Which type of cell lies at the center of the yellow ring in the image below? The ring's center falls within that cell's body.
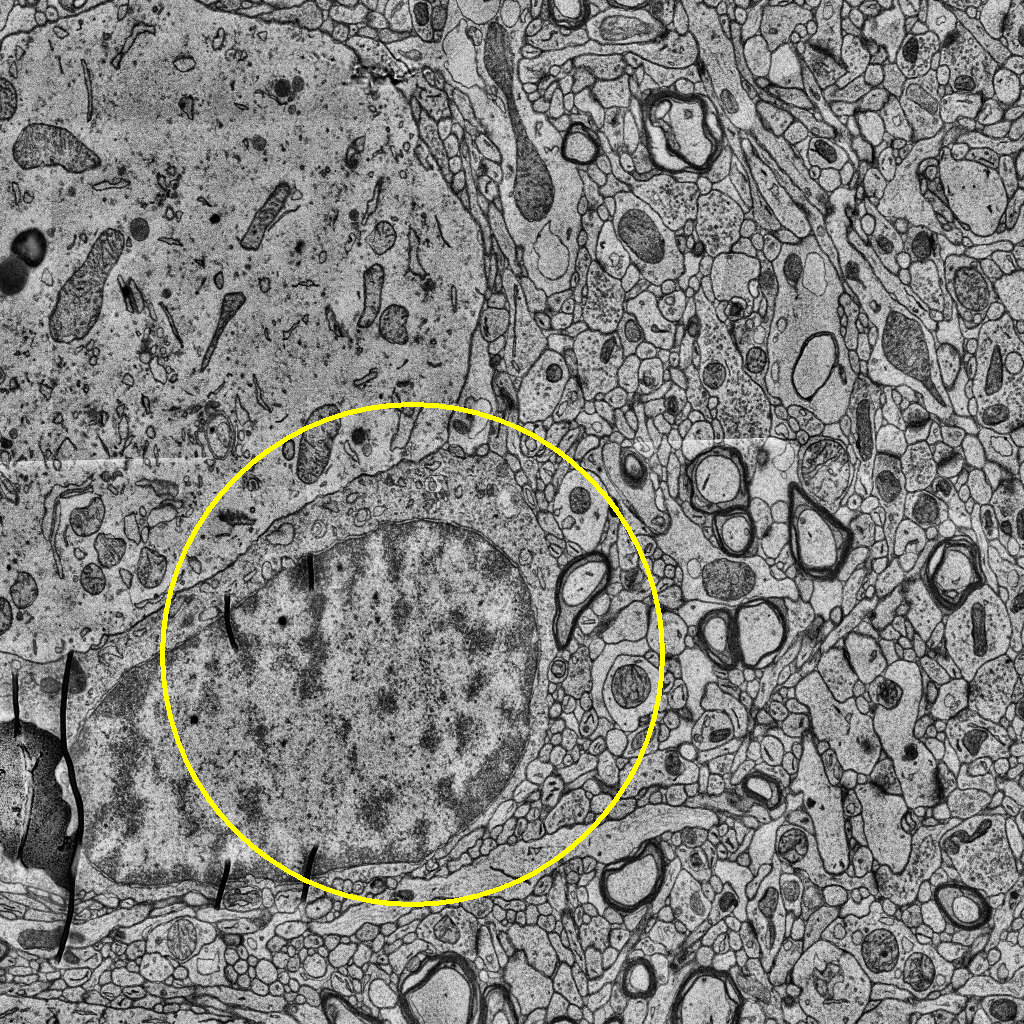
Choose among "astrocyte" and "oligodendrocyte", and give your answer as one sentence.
The cell body at the center belongs to an oligodendrocyte.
